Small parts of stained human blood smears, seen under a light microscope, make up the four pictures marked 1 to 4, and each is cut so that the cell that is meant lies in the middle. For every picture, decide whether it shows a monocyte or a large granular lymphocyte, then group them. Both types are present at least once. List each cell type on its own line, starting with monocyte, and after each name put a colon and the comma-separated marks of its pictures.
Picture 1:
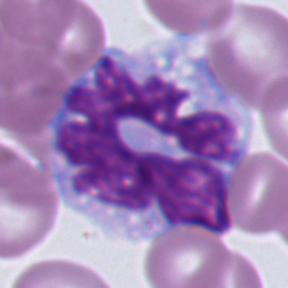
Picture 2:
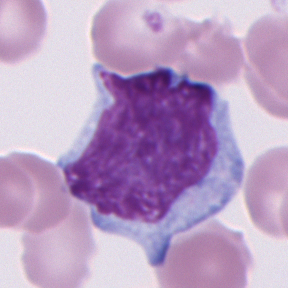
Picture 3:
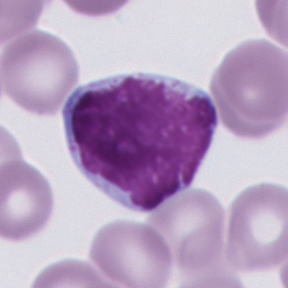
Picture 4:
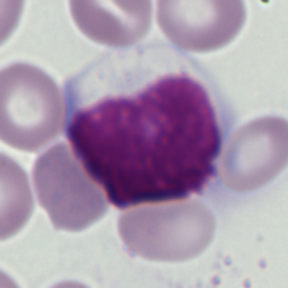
monocyte: 1, 2
large granular lymphocyte: 3, 4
